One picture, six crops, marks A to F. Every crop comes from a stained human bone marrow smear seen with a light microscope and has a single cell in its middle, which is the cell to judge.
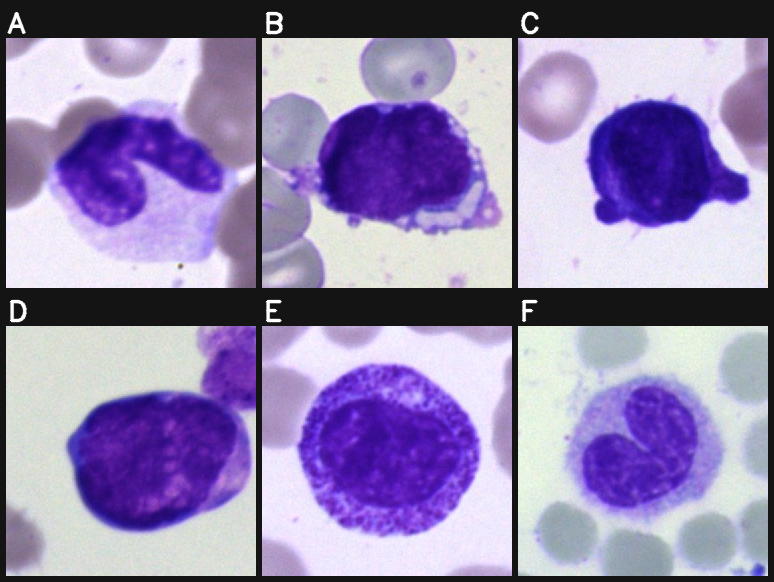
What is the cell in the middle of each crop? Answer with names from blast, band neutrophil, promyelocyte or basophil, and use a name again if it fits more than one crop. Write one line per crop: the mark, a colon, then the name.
A: band neutrophil
B: blast
C: blast
D: blast
E: promyelocyte
F: band neutrophil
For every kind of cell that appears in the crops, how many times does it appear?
blast: 3
band neutrophil: 2
promyelocyte: 1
